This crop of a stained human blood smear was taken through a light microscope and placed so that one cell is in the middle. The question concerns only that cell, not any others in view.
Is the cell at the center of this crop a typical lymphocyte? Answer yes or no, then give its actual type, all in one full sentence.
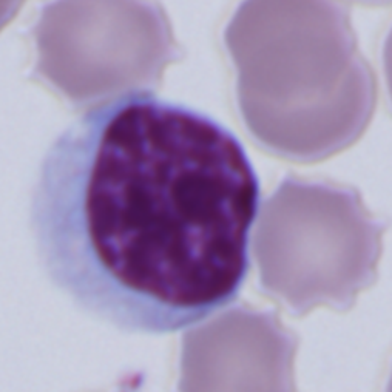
Yes, the cell in the middle has the identity of a typical lymphocyte.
